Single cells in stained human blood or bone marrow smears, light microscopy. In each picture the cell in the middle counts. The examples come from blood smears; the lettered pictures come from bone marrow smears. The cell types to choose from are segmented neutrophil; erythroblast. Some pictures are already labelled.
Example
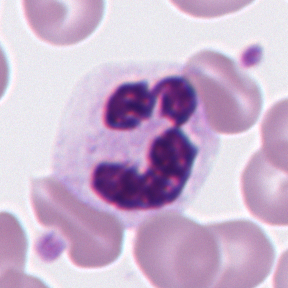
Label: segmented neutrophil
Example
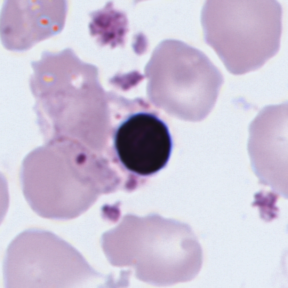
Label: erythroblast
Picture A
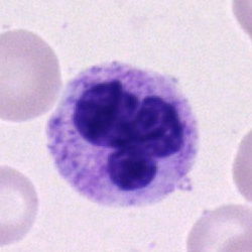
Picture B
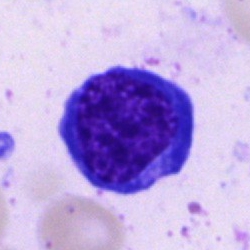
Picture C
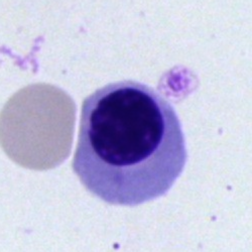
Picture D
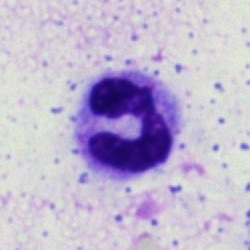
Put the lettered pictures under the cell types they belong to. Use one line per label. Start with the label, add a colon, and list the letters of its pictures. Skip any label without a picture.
segmented neutrophil: A, D
erythroblast: B, C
